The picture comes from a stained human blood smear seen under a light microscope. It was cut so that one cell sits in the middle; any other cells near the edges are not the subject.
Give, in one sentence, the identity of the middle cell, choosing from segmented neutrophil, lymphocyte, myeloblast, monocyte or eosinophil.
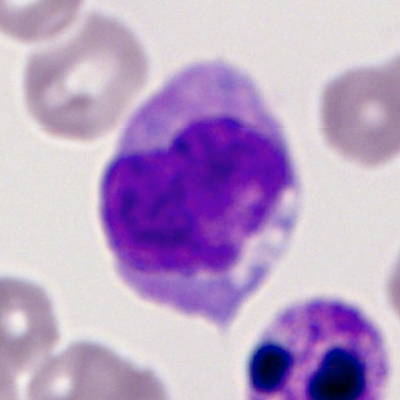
The cell occupying the middle of the crop is a monocyte.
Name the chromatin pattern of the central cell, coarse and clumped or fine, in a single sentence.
There is no coarse clumping; the chromatin stays fine throughout.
